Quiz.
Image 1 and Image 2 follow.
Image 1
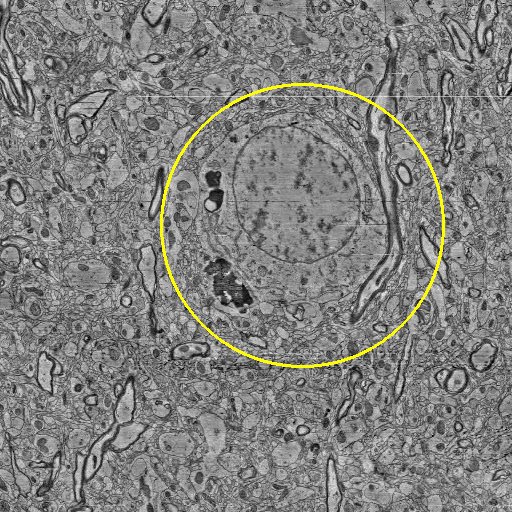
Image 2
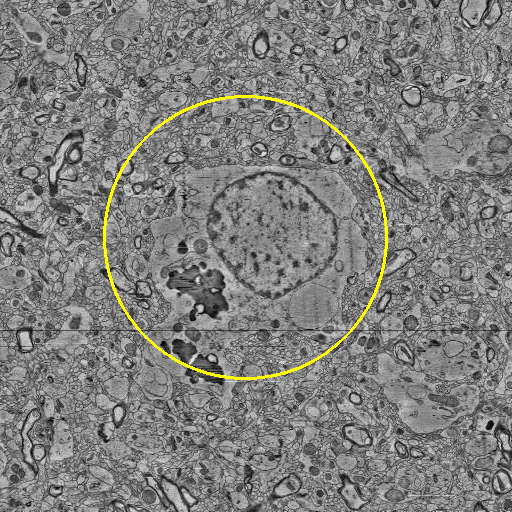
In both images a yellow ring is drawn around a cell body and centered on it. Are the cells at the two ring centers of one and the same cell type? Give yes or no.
no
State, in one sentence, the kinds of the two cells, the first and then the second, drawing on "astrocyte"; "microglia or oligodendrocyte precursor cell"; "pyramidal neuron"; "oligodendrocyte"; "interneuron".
The ring in the second picture is centred on an astrocyte, the ring in the first on a pyramidal neuron.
